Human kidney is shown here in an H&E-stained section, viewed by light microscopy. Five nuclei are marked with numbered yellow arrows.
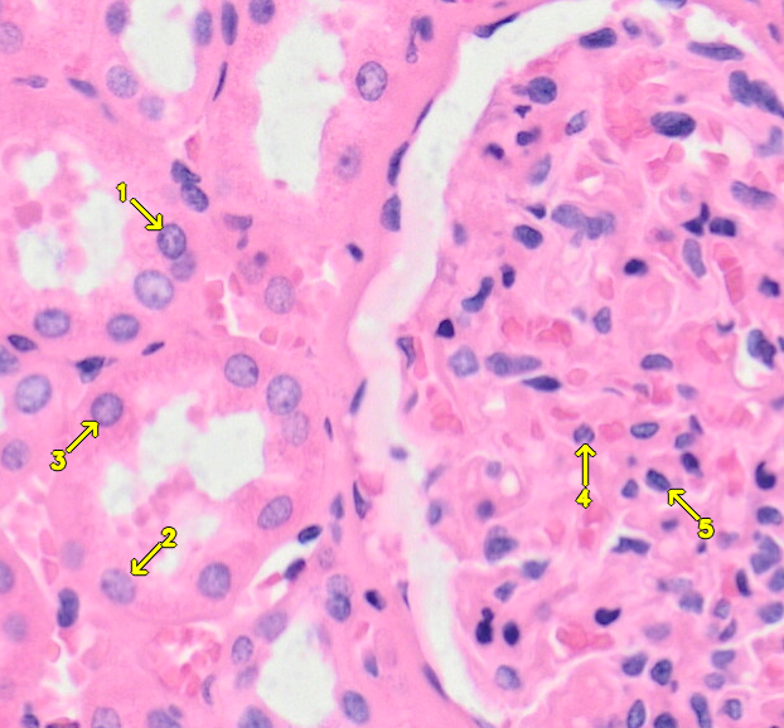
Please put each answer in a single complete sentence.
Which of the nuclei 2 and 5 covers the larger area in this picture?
At about 2.5 times the area of nucleus 5, nucleus 2 is the larger of the two.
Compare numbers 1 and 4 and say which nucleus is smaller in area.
Nucleus 4 covers less area, with nucleus 1 about 2.5 times as large.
